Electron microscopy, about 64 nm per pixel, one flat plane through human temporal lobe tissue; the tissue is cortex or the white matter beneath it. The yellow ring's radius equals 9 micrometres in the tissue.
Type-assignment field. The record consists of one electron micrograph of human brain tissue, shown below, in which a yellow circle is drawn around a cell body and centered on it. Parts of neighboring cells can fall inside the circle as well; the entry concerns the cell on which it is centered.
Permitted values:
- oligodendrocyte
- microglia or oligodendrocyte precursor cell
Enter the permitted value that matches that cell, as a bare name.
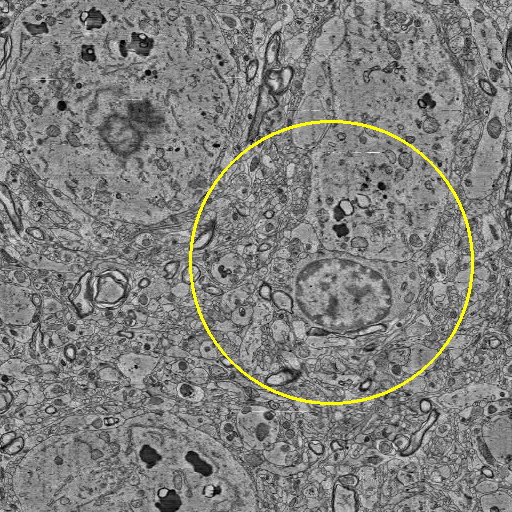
oligodendrocyte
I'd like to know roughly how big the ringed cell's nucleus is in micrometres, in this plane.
About 6 by 5 micrometers for the nucleus, in this plane.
